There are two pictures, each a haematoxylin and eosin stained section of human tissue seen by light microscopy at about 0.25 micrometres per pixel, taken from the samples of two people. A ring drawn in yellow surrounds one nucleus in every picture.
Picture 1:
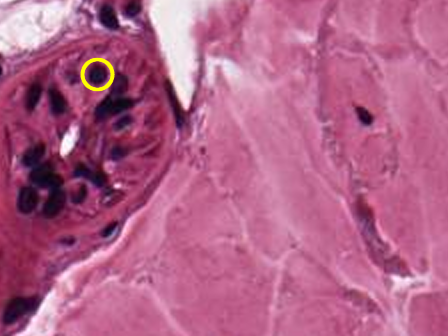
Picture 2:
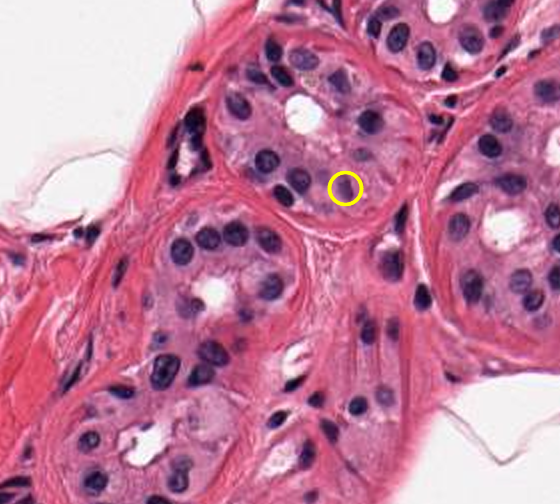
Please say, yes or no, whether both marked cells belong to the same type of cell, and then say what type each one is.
Yes, both are sweat gland cells.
